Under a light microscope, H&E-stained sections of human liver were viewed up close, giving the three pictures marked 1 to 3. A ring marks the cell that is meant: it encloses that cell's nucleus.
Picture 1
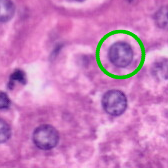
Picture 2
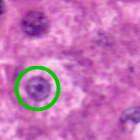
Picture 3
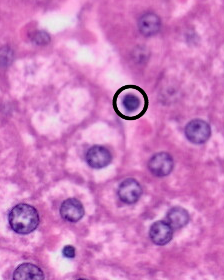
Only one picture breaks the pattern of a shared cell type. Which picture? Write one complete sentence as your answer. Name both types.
Picture 3 differs, because its cell is a lymphocyte and the rest are hepatocytes.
